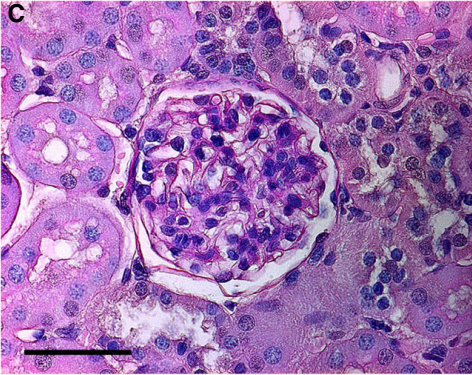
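Here a kidney glomerulus fills the centre: a crowded round tuft of dark blue nuclei threaded by magenta-staining loops and matrix. A thin white space and a delicate magenta capsule ring the tuft, and the surrounding tubules are lined by cuboidal cells with pink cytoplasm and round nuclei.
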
